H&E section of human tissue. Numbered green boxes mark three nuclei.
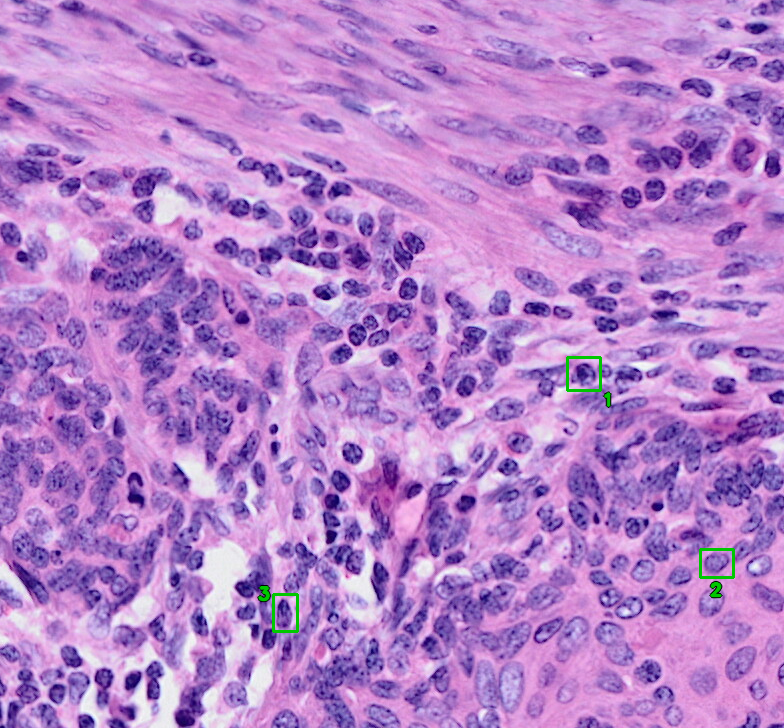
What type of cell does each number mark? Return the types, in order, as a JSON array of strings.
["lymphocyte", "squamous carcinoma cell", "lymphocyte"]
